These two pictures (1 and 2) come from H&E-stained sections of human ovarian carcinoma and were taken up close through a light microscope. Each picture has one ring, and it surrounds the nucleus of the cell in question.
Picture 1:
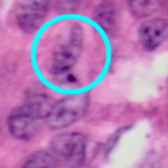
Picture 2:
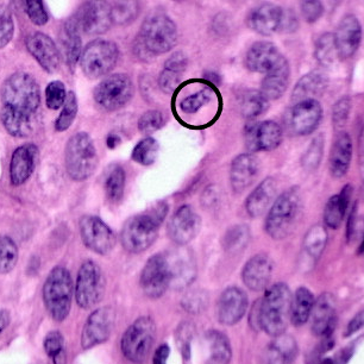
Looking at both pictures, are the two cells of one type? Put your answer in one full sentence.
Yes, both cells are “macrophages or monocytes”.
